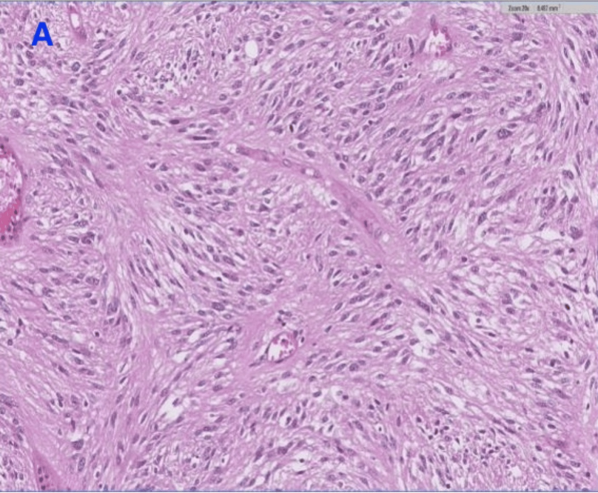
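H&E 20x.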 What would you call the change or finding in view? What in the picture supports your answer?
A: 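Spindle cell tumor. Densely packed cells with elongated nuclei and eosinophilic cytoplasm. Cells form sheets and bundles without glands.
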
